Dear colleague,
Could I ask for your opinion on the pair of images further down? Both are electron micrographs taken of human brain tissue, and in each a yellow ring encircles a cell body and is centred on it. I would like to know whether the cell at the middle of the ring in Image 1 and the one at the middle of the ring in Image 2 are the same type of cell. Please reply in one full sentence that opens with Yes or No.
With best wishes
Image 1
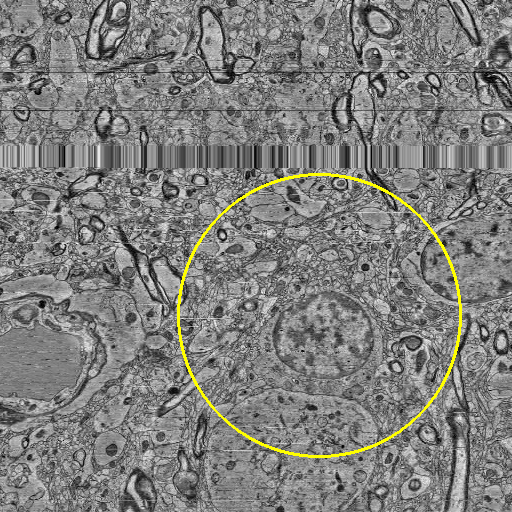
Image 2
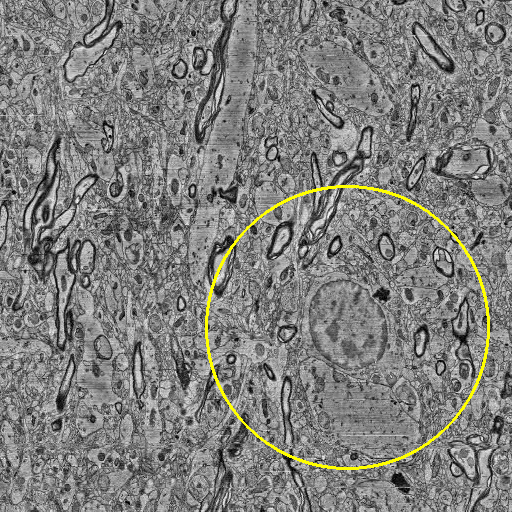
Yes, the cells at the ring centres in Image 1 and Image 2 are of one type.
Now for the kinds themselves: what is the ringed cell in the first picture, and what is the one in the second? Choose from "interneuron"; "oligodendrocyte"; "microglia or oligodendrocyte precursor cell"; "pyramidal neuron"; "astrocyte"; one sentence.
In each of the two pictures, the ringed cell is an oligodendrocyte.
